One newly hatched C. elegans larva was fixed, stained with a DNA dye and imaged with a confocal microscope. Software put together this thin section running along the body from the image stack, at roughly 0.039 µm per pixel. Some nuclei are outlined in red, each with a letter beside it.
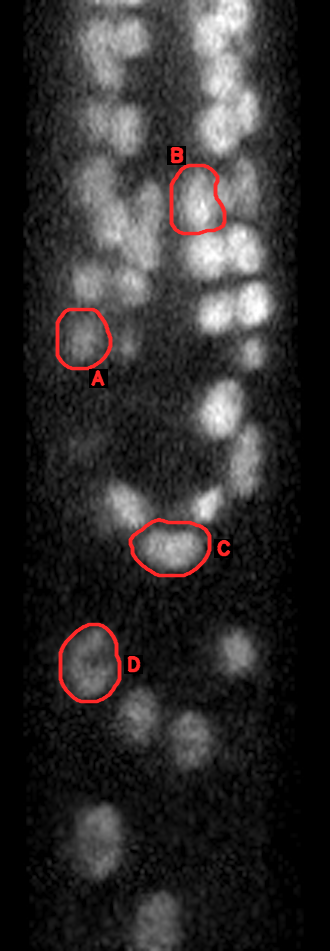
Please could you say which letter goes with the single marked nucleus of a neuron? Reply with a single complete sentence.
A is from a neuron.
